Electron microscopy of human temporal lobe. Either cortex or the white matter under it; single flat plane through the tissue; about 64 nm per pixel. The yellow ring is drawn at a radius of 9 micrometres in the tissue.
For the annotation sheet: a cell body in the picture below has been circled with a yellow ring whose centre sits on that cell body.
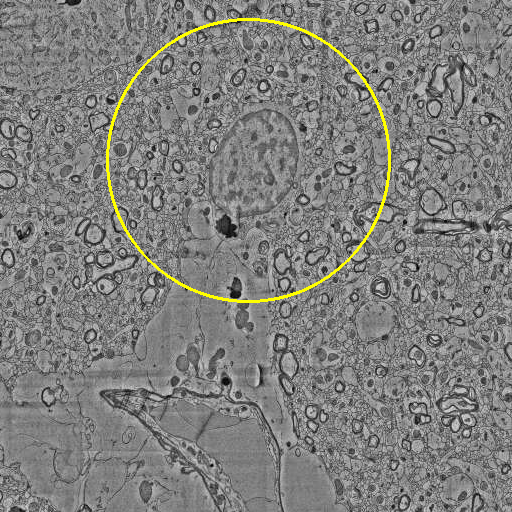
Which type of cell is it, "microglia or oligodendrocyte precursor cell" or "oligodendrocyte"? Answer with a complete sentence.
The circled cell is an oligodendrocyte.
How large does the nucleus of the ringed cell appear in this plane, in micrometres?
Roughly 7 by 5 micrometres in this plane, for the nucleus of the ringed cell.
